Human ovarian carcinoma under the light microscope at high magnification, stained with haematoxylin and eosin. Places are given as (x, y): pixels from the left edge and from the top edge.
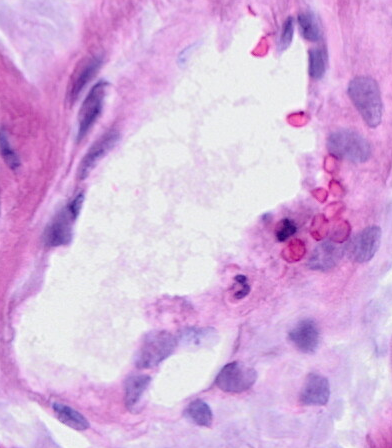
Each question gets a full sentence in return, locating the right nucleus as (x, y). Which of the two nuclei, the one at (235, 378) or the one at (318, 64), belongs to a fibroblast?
The nucleus at (235, 378) is attributed to a fibroblast, unlike the other nucleus.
